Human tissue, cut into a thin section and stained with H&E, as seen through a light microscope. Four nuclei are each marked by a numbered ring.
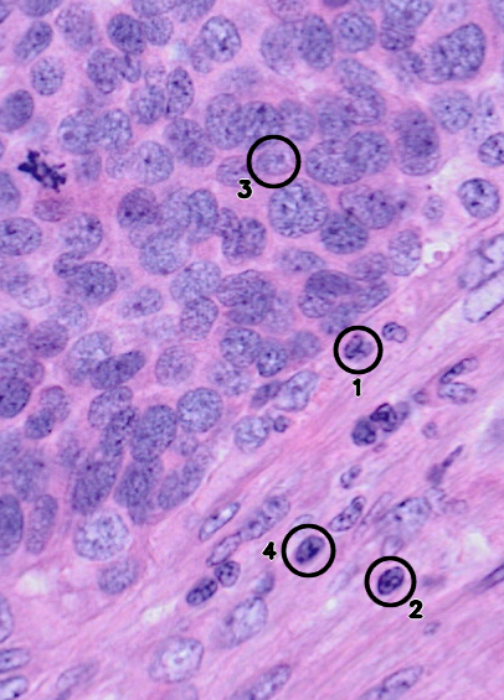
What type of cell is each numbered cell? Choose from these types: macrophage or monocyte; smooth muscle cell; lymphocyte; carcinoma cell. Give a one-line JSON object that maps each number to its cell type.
{"1": "lymphocyte", "2": "lymphocyte", "3": "carcinoma cell", "4": "lymphocyte"}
